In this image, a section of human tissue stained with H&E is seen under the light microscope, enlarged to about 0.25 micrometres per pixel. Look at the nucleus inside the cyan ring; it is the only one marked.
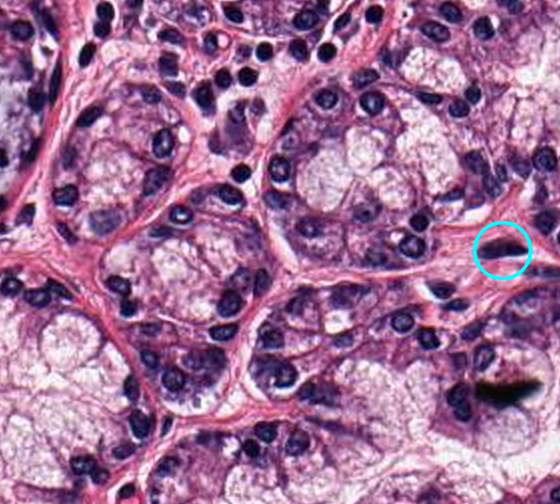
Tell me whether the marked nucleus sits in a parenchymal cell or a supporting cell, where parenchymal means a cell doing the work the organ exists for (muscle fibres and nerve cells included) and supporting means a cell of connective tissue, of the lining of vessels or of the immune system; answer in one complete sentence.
The marked nucleus belongs to a cell, and that cell is a supporting cell.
